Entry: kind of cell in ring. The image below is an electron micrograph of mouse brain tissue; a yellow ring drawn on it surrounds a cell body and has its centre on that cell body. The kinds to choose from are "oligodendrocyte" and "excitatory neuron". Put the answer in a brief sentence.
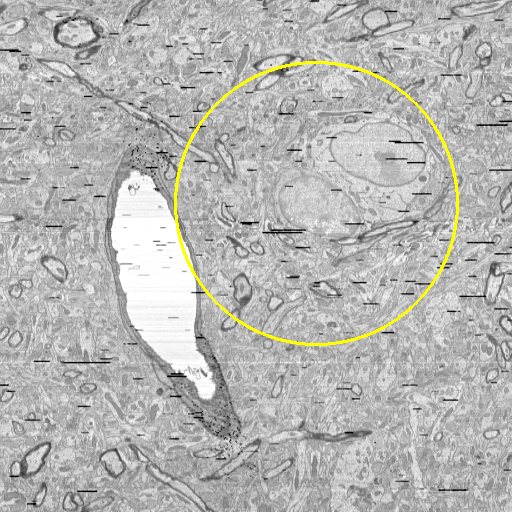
The ring has been drawn around an oligodendrocyte.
